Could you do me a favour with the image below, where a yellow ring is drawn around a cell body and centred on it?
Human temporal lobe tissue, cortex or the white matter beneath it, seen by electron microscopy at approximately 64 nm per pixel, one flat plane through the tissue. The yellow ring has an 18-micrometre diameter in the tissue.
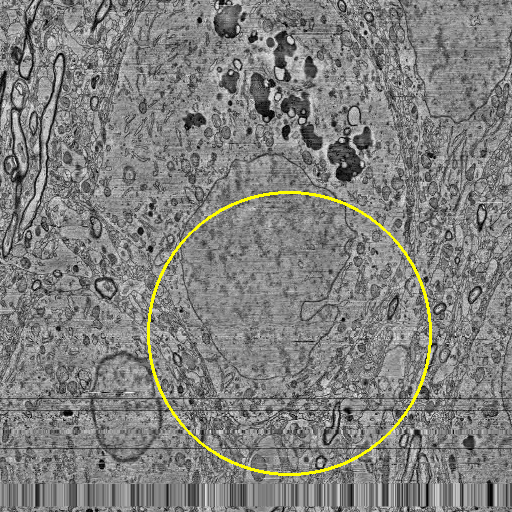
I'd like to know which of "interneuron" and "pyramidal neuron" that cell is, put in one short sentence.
The cell at the ring's centre is a pyramidal neuron.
